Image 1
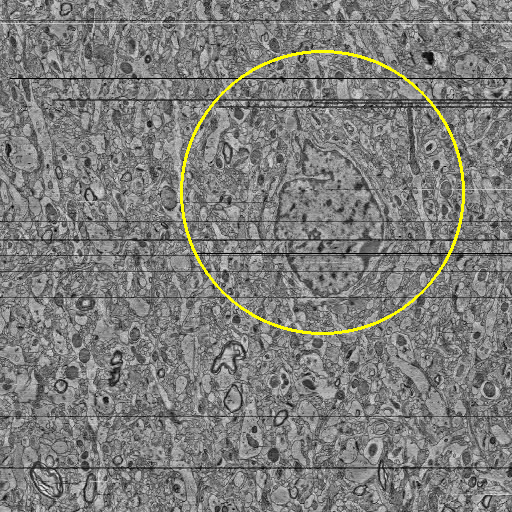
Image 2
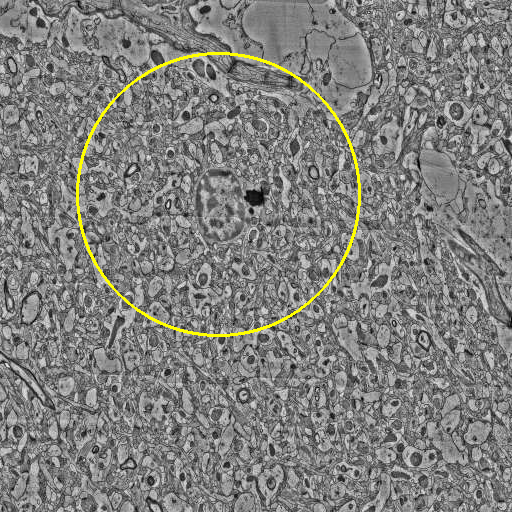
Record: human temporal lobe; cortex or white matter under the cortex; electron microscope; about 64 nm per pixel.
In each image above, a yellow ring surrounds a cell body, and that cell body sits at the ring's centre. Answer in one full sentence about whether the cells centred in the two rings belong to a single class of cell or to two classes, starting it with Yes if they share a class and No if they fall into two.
No, the cells centred in the two yellow rings belong to two classes of cell.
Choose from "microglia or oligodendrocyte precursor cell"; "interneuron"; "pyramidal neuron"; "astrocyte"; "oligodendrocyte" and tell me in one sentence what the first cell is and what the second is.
What the first ring is centred on is a microglial cell or oligodendrocyte precursor cell; what the second ring is centred on is an oligodendrocyte.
